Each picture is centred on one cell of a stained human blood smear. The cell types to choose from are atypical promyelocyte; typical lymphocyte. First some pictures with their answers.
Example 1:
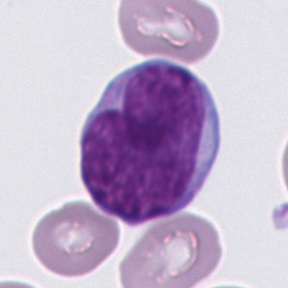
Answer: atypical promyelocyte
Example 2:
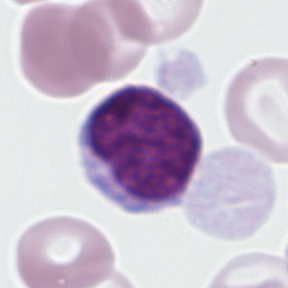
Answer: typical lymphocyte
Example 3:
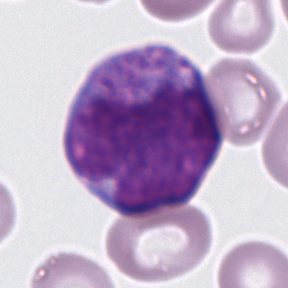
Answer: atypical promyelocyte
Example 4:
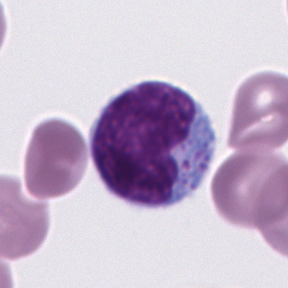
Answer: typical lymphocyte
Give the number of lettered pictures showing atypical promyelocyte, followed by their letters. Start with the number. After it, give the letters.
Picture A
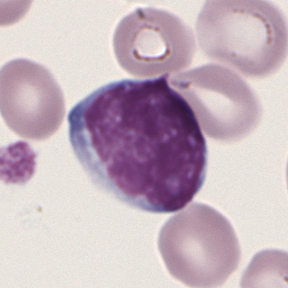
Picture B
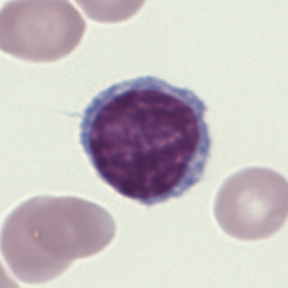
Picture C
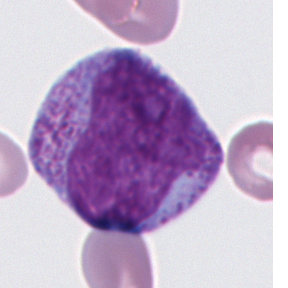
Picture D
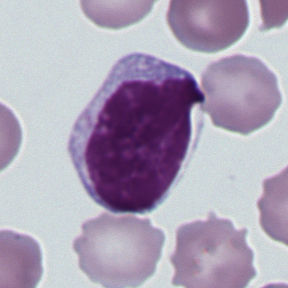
Count: 1 (C)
